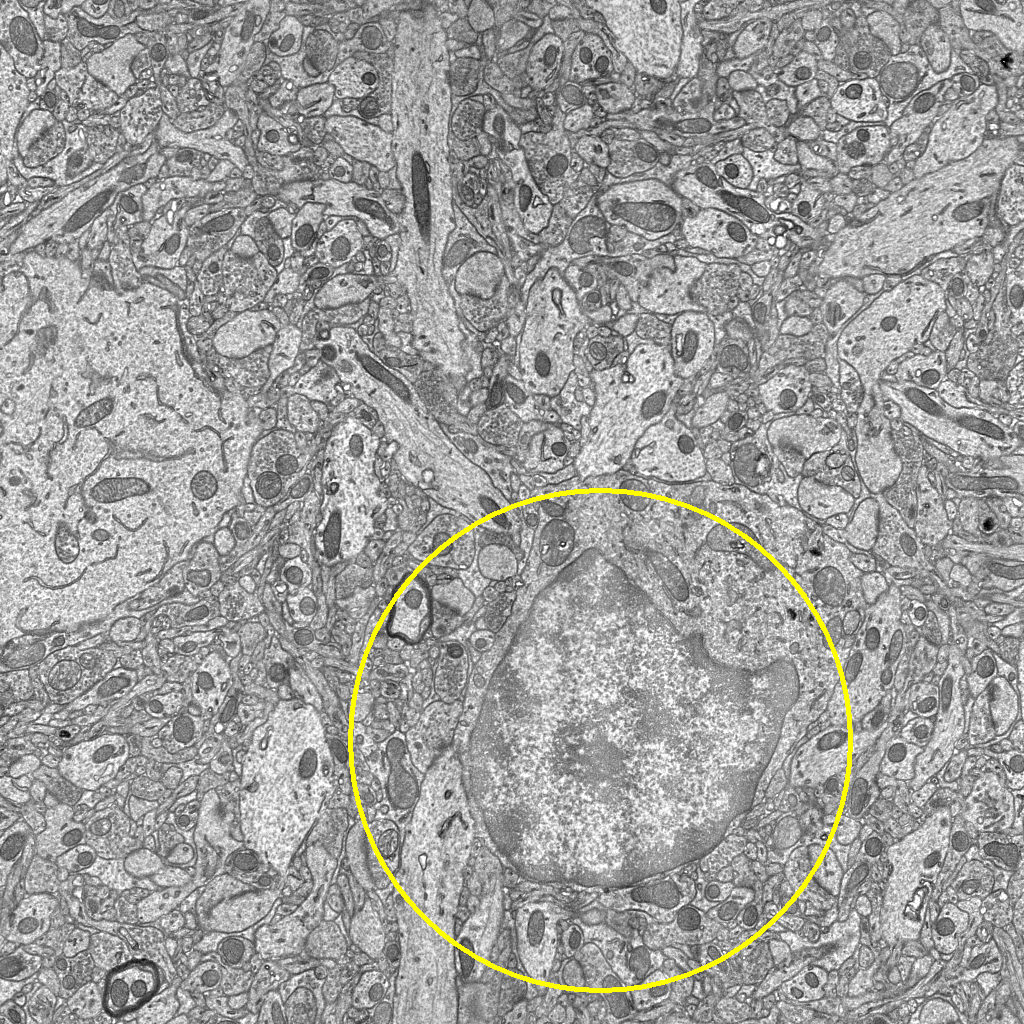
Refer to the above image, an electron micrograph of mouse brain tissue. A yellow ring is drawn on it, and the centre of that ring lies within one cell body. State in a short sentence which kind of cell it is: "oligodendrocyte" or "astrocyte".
The centre of the ring falls on an oligodendrocyte.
